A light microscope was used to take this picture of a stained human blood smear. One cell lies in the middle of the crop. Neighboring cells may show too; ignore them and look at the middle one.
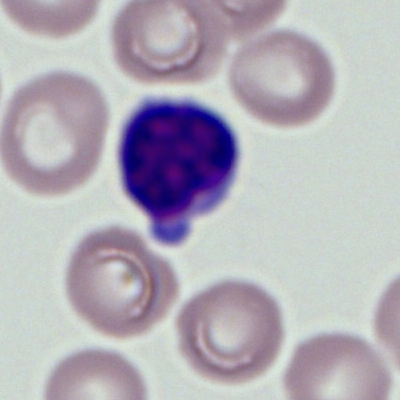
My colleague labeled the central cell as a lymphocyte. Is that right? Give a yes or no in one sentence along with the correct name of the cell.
Yes, the cell at the centre of this crop is identified as a lymphocyte.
